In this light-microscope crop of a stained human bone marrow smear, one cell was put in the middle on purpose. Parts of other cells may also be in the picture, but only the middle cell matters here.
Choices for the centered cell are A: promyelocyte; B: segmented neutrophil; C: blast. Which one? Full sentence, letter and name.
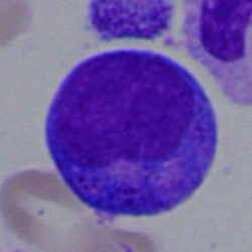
Option A is right, the centrally situated cell being a promyelocyte.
